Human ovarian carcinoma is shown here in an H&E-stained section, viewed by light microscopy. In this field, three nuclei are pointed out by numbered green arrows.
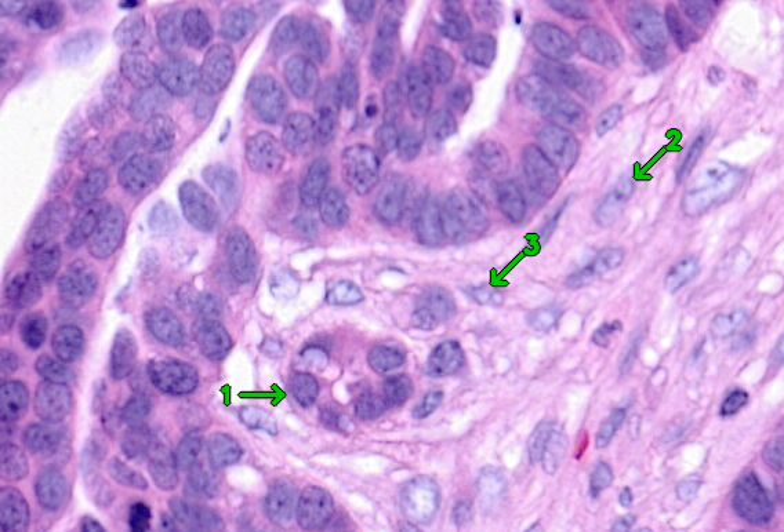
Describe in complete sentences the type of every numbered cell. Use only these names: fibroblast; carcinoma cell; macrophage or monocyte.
Cell 1 is a carcinoma cell, cell 2 is a fibroblast and cell 3 is a fibroblast.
